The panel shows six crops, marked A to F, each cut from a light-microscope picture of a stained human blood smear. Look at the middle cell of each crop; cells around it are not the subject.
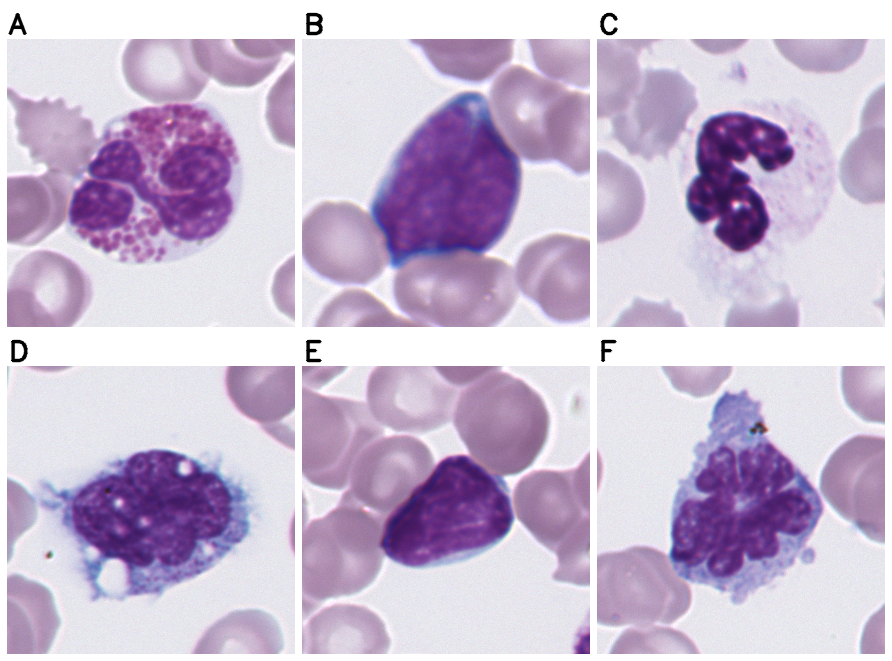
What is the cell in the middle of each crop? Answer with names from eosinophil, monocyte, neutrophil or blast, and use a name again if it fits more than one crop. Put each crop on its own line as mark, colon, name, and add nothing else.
A: eosinophil
B: blast
C: neutrophil
D: monocyte
E: blast
F: monocyte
